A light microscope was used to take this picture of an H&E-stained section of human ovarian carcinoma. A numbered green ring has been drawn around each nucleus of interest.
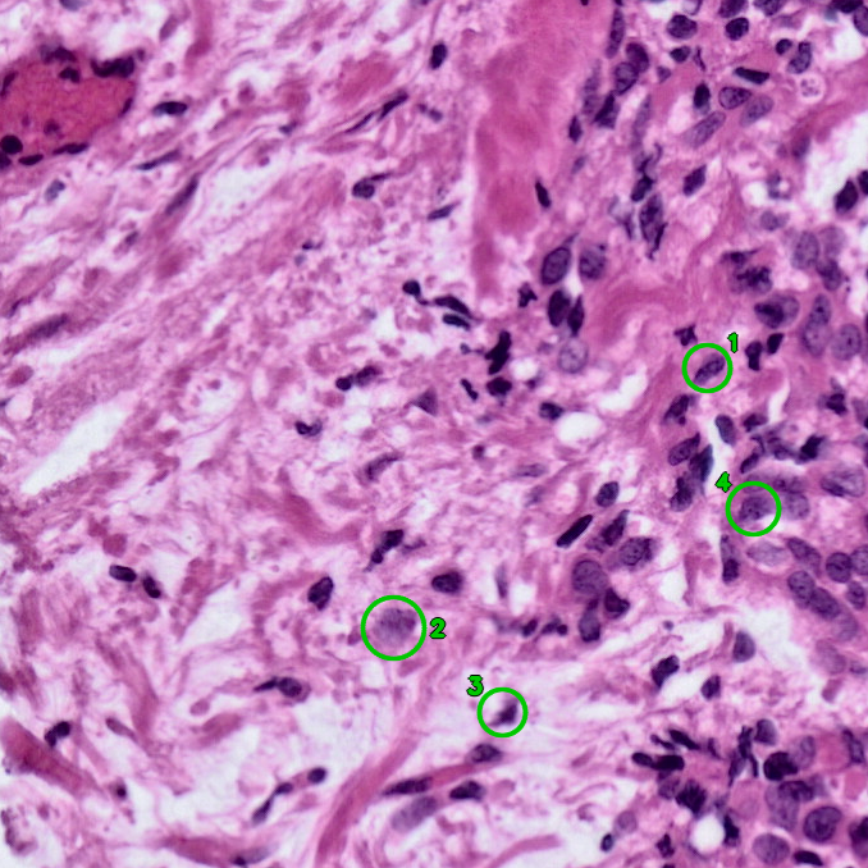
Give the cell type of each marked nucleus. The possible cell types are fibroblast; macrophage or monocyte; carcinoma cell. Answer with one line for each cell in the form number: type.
1: macrophage or monocyte
2: fibroblast
3: fibroblast
4: carcinoma cell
